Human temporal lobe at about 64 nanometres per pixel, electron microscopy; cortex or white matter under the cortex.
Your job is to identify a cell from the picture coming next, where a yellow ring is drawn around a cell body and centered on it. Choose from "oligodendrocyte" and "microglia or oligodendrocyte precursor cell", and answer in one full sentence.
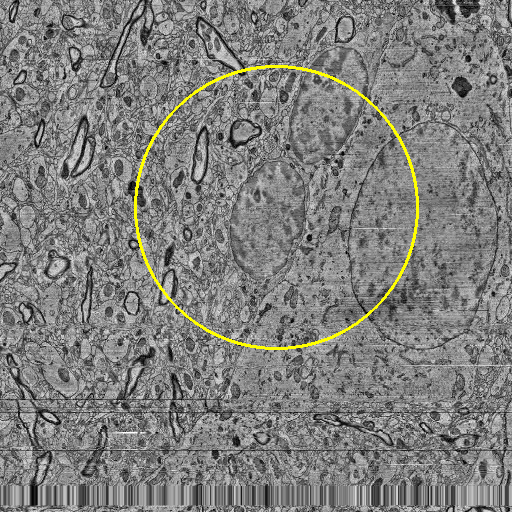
Centered in the yellow ring of the picture is the body of an oligodendrocyte.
